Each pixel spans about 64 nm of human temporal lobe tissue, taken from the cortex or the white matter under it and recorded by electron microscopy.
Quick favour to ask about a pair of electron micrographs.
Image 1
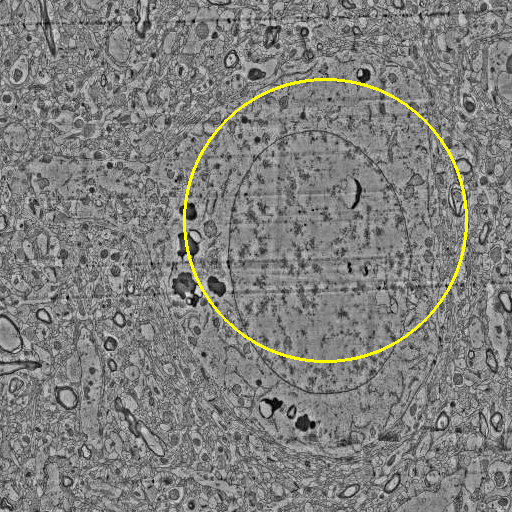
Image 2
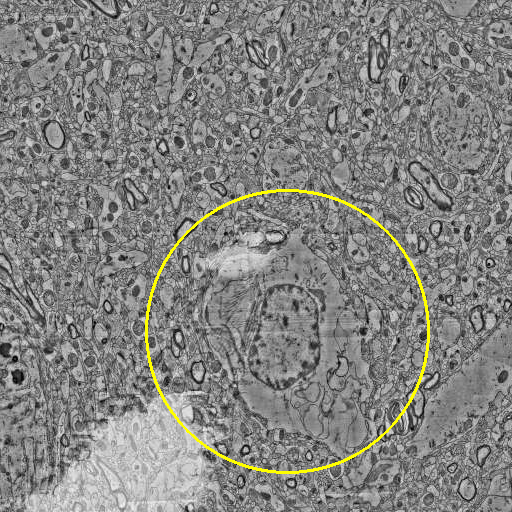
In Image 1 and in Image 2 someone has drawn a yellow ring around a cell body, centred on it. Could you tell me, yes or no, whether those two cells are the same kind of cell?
no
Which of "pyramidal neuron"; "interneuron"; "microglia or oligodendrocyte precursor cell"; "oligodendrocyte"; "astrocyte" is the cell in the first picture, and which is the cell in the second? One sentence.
The two differ: the first cell is a pyramidal neuron and the second is an astrocyte.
